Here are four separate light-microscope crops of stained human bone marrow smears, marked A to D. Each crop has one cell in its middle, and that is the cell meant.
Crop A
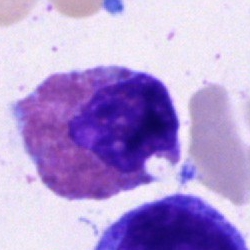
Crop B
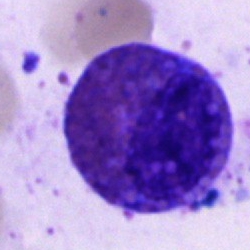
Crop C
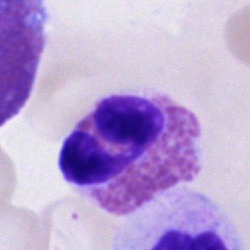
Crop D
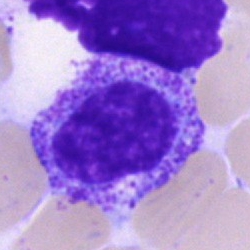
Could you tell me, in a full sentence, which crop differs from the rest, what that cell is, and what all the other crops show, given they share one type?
The remaining crops are all eosinophils, so crop D, being a myelocyte, is the exception.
